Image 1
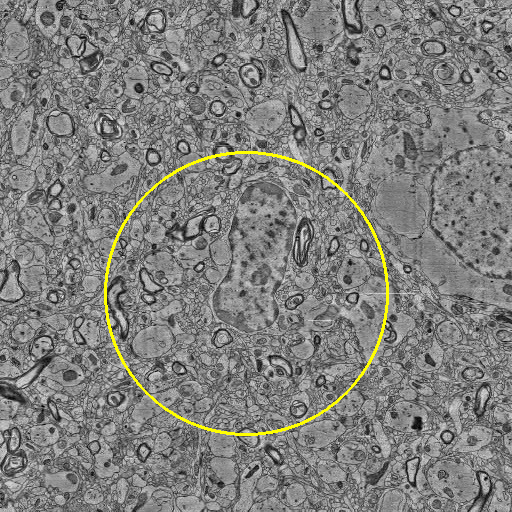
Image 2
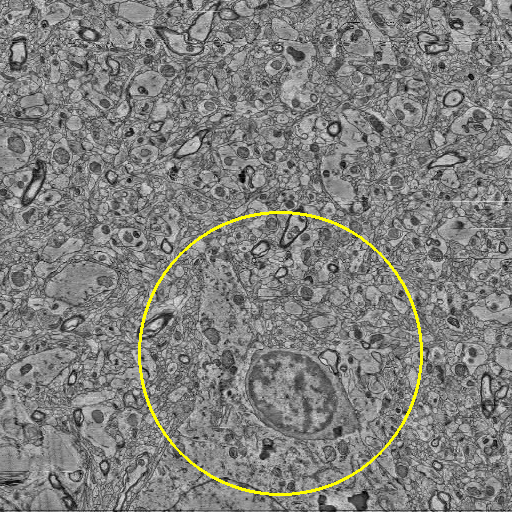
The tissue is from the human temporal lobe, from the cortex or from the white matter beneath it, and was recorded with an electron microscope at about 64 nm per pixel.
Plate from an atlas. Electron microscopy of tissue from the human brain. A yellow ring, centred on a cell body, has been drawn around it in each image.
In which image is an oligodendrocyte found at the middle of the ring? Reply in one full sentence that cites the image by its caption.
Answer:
The requested cell is the one at the ring's centre in Image 2.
